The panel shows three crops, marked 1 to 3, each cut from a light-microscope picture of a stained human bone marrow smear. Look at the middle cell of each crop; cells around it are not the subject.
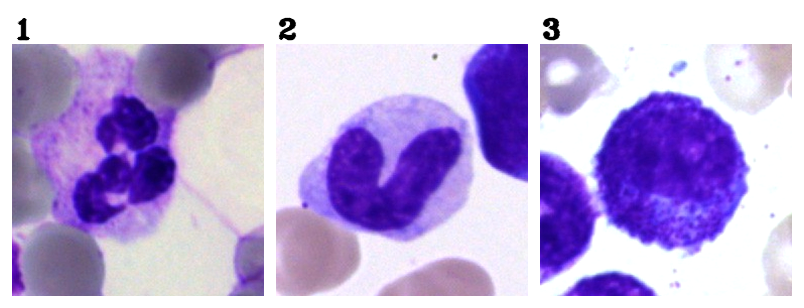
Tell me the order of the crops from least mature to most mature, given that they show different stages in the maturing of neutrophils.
3, 2, 1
